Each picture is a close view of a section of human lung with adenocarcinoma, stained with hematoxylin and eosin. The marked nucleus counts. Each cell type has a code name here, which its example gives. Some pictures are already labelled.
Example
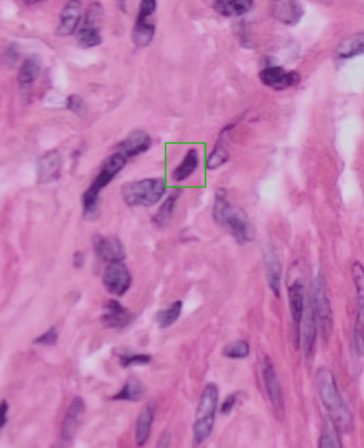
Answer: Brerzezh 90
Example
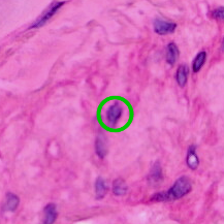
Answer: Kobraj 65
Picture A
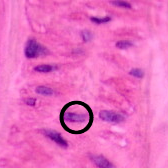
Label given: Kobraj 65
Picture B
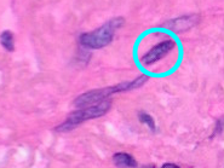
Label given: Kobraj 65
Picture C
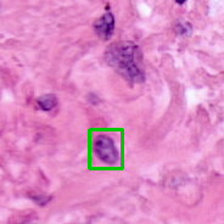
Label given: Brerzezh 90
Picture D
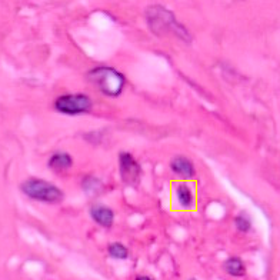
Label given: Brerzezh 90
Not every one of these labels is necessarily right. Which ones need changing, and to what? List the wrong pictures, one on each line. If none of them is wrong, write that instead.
D: not Brerzezh 90 but Kobraj 65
